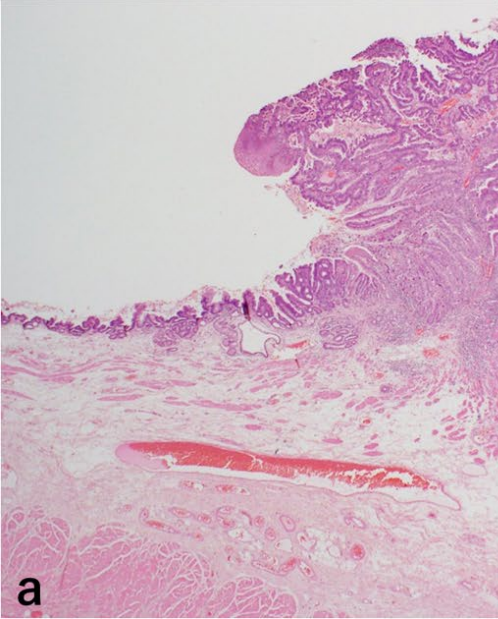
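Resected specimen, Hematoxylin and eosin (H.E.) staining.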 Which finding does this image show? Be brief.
Well-differentiated tubular adenocarcinoma.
